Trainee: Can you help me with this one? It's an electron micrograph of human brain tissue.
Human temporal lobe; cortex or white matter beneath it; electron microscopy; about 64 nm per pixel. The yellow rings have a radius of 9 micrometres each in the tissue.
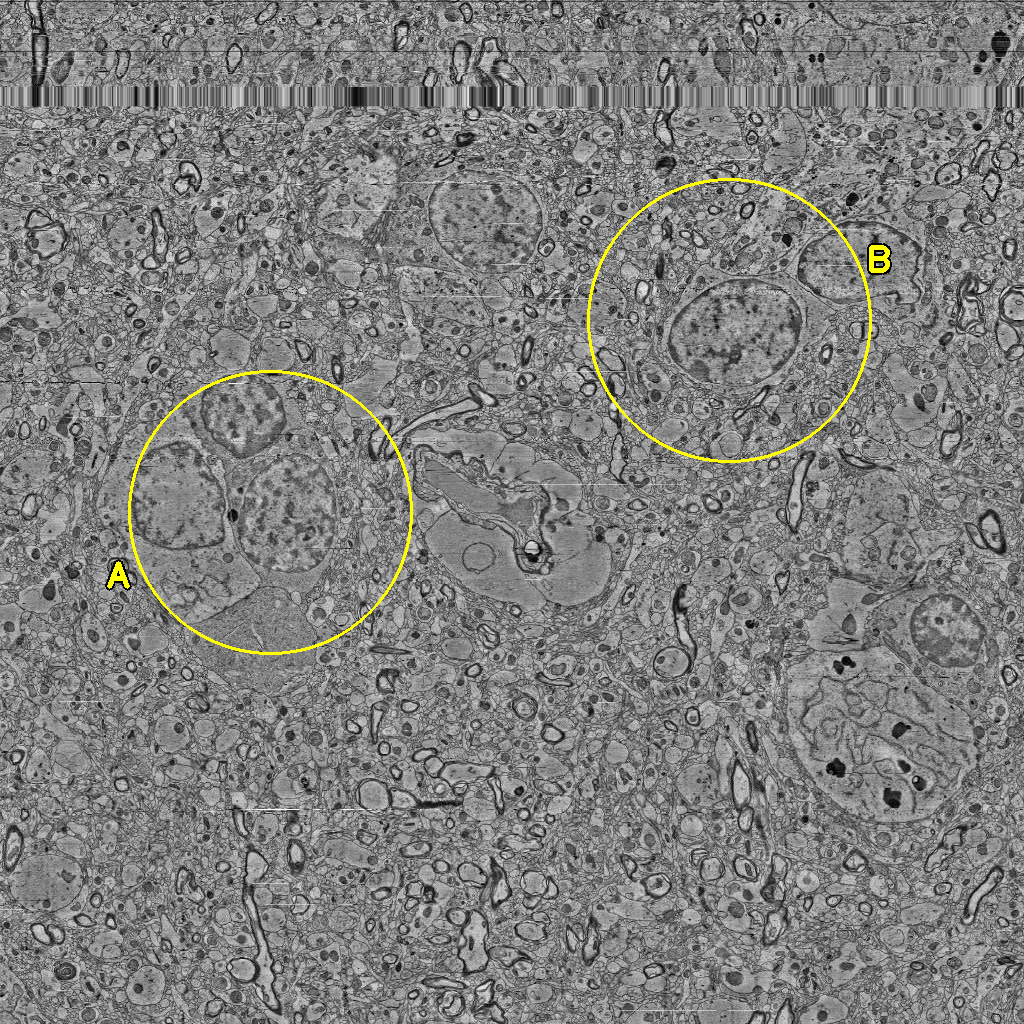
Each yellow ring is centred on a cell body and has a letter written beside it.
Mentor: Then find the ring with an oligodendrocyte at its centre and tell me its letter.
A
